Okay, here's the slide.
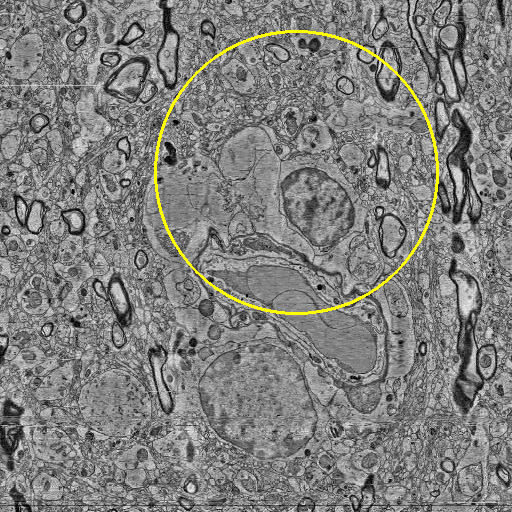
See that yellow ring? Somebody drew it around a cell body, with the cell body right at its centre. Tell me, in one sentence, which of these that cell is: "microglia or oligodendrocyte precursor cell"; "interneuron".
The cell in the middle of the ring is a microglial cell or oligodendrocyte precursor cell.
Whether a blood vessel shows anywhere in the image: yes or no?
Yes, a blood vessel can be seen.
